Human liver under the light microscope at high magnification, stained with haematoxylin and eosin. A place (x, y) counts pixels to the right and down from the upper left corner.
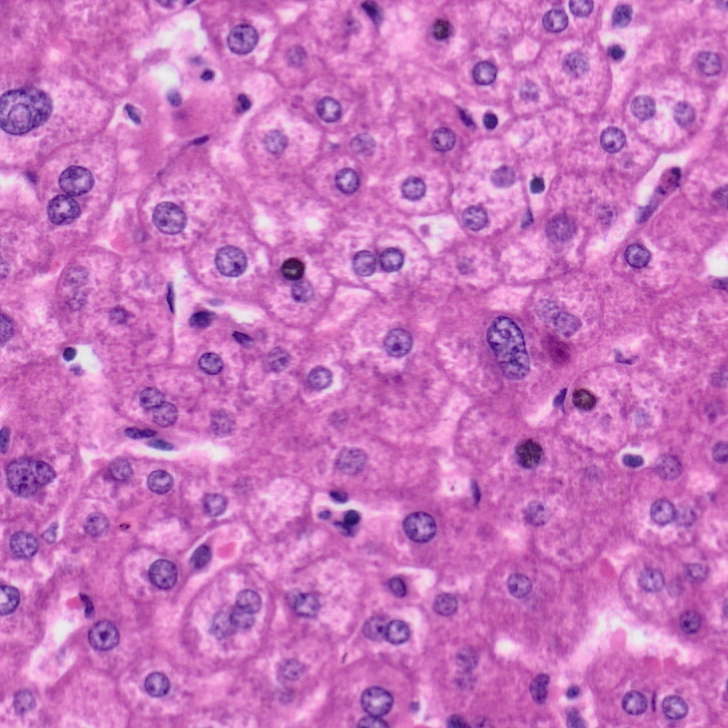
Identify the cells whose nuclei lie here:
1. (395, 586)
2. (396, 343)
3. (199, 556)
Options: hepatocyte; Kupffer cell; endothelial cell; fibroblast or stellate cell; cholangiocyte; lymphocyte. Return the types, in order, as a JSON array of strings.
["Kupffer cell", "hepatocyte", "Kupffer cell"]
